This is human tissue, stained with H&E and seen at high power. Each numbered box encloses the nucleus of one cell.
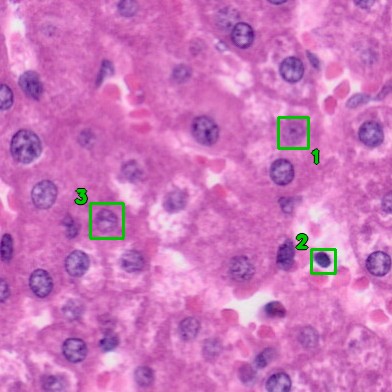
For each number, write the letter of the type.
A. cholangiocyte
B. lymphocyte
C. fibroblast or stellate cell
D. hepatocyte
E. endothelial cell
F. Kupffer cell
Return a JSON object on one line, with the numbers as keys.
{"1": "D", "2": "B", "3": "D"}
